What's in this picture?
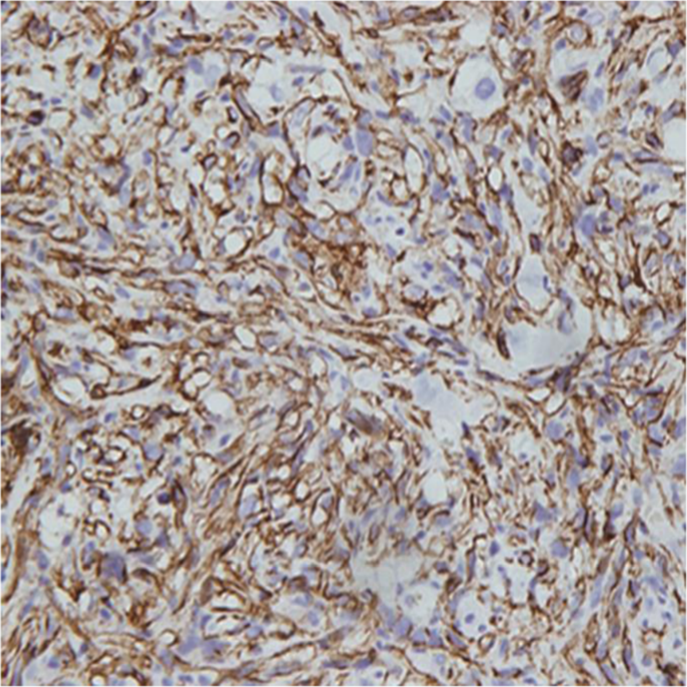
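A crowded field of spindle-shaped and rounded cells with blue-counterstained nuclei is traced throughout by a dense brown network outlining the cell membranes. Many small clear spaces and vacuoles are rimmed by the brown-stained cells, and a few larger cells with big pale nuclei sit among them. The staining involves the tumor cells diffusely rather than only scattered vessels.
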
